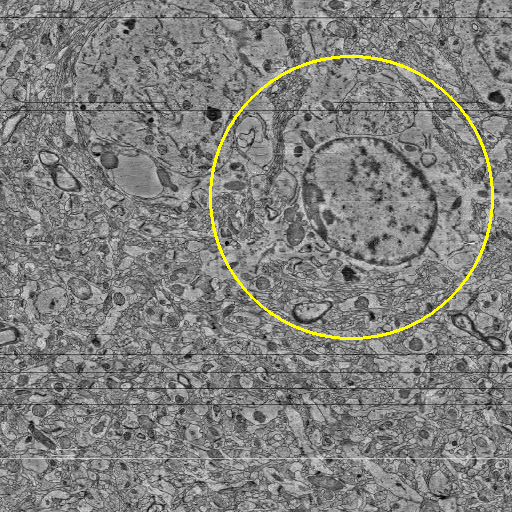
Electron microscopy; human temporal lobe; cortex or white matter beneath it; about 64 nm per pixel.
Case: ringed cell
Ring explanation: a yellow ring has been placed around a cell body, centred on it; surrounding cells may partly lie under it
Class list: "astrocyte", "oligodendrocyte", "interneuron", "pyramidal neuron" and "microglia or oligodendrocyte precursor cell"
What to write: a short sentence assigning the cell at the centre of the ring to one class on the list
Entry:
The cell at the ring's centre is an astrocyte.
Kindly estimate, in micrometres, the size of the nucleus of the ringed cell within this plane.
Roughly 9 by 7 micrometres in this plane, for the nucleus of the ringed cell.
